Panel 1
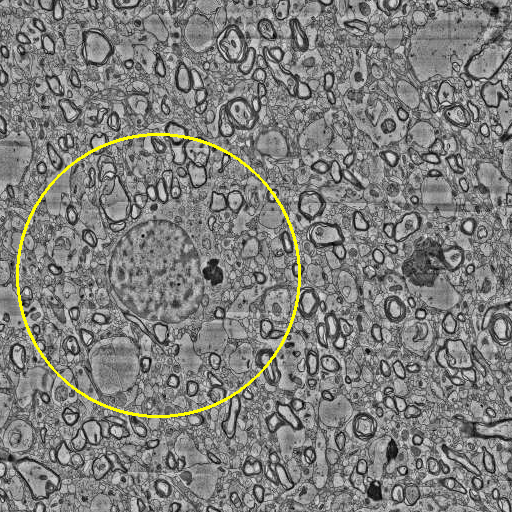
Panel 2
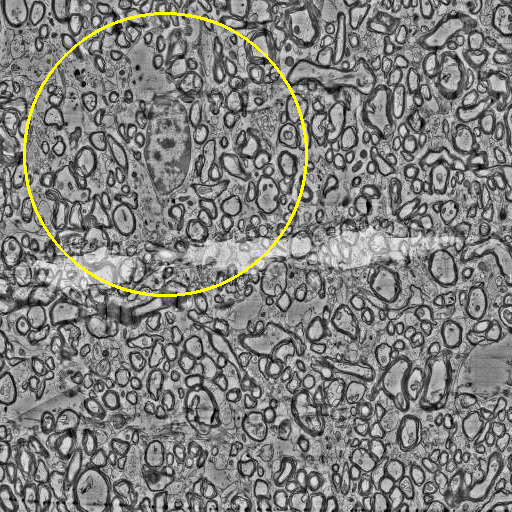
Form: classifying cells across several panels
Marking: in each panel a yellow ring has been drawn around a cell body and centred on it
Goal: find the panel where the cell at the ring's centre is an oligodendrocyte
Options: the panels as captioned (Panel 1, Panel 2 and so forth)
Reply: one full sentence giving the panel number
Panel 1 shows the wanted cell at the centre of its ring.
